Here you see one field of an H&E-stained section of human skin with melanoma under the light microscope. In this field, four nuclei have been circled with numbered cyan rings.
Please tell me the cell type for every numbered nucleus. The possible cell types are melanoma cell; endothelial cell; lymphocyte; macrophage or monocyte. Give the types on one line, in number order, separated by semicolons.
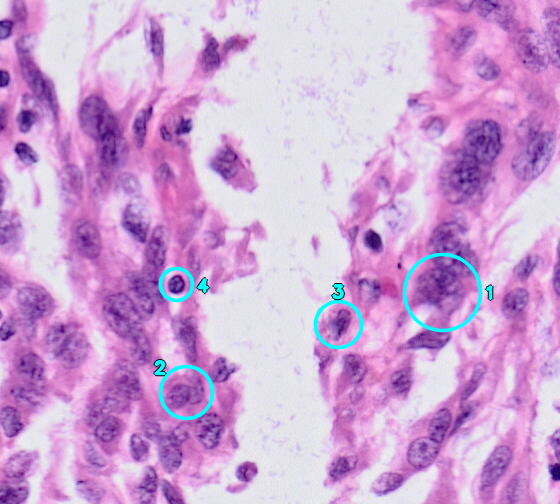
melanoma cell; melanoma cell; macrophage or monocyte; lymphocyte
